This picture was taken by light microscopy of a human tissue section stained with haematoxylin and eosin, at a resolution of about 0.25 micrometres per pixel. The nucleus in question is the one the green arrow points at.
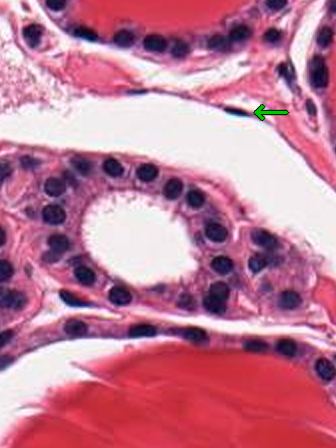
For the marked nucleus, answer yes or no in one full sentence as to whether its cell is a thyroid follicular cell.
No, the marked nucleus does not belong to a thyroid follicular cell; it belongs to a supporting cell.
